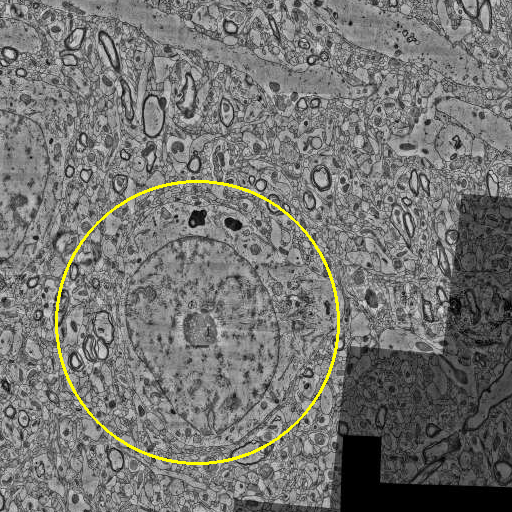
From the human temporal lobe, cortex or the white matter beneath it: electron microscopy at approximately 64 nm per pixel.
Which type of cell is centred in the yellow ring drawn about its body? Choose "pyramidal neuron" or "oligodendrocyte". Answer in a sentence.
The yellow ring surrounds the cell body of a pyramidal neuron.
